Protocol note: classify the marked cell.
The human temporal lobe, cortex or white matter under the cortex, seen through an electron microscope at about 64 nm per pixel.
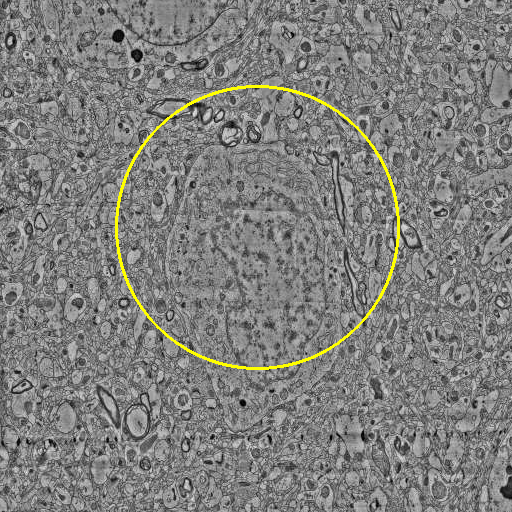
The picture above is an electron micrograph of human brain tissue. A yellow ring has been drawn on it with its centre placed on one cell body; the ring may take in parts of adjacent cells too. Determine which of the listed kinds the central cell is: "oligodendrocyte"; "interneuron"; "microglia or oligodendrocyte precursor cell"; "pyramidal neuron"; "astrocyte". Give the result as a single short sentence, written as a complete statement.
The central cell is an interneuron.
